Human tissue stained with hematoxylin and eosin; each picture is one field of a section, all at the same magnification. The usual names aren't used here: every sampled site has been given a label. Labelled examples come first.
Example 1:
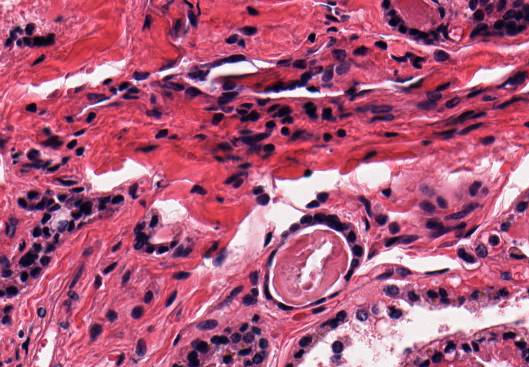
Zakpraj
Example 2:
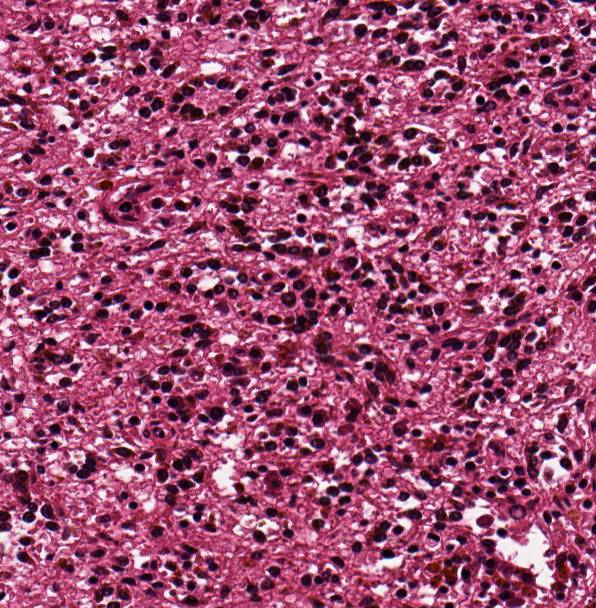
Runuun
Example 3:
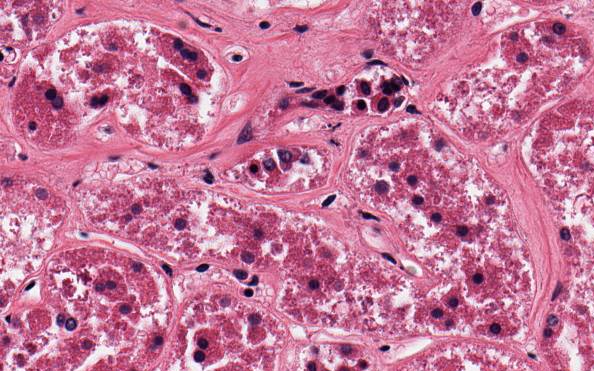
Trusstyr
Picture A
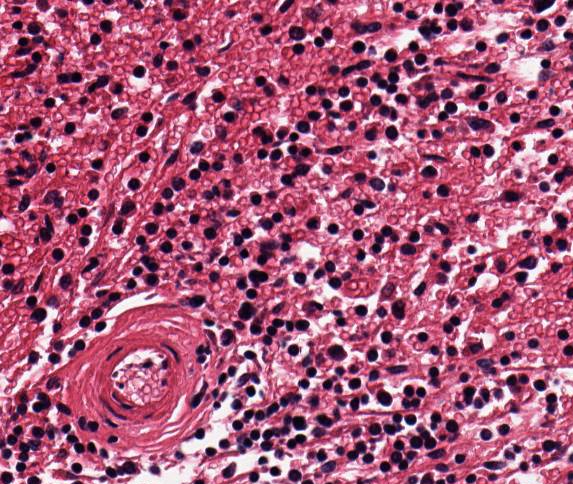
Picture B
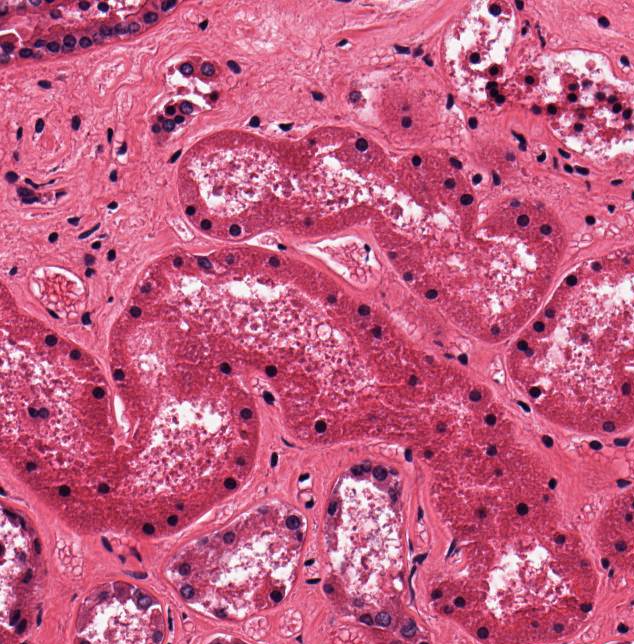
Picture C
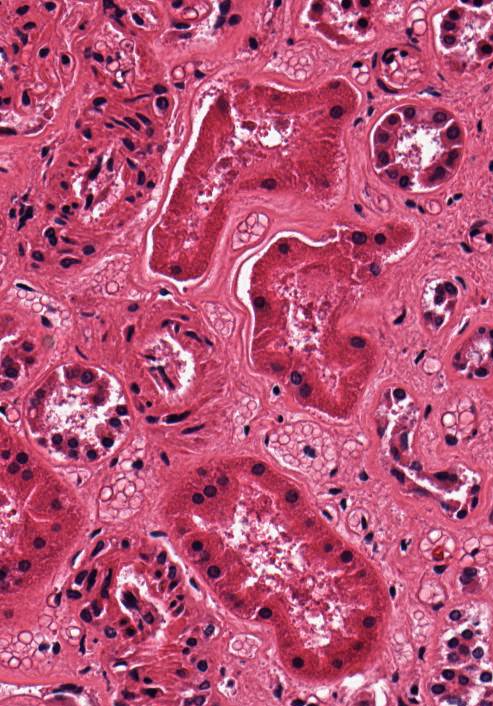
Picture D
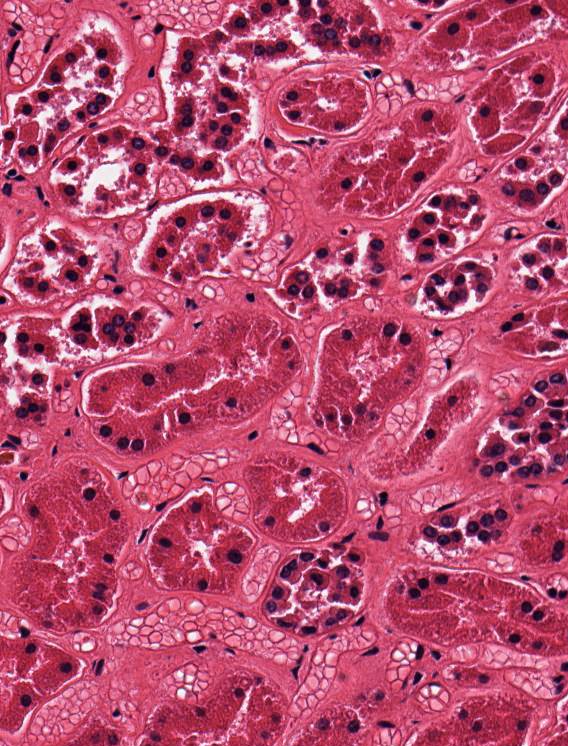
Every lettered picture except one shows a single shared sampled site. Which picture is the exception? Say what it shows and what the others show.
A: Runuun; all the others: Trusstyr.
